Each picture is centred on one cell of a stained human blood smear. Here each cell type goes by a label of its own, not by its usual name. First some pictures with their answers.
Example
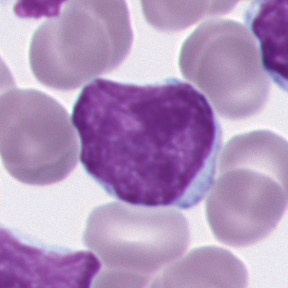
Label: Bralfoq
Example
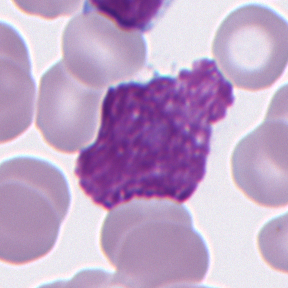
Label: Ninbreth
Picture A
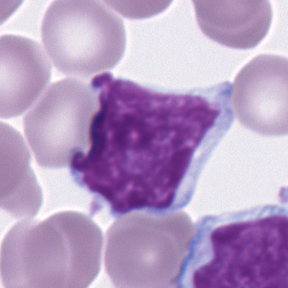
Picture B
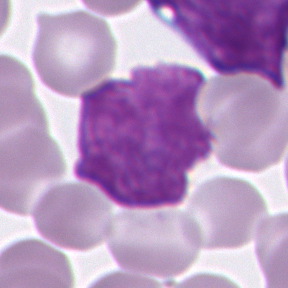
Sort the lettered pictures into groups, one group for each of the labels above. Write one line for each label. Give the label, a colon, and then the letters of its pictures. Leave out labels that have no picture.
Bralfoq: A
Ninbreth: B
